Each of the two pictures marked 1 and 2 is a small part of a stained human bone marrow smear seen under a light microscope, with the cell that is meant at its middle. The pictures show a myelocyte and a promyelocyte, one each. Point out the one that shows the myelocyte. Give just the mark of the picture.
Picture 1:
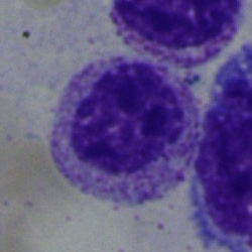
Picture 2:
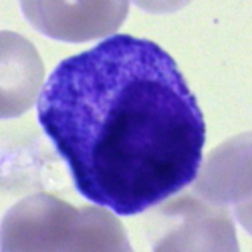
1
